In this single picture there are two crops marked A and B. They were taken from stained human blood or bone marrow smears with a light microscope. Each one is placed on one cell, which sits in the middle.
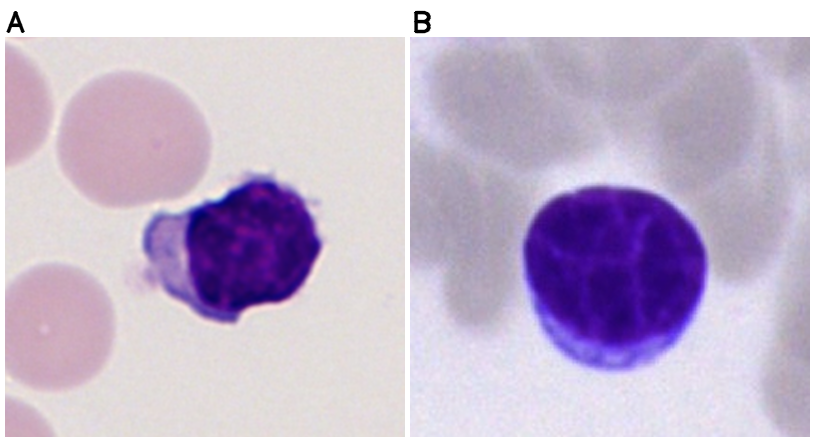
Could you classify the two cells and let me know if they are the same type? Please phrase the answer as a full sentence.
Yes, the middle cells in the two crops are lymphocytes.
